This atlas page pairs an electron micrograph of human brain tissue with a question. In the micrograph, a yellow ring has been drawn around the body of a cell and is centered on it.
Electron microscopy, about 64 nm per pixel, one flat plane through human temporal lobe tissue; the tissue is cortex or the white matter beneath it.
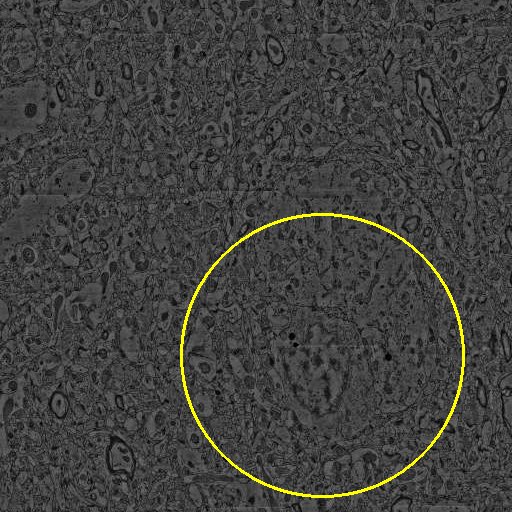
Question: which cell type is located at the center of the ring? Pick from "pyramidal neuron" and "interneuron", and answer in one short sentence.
Located at the center of the ring is an interneuron.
